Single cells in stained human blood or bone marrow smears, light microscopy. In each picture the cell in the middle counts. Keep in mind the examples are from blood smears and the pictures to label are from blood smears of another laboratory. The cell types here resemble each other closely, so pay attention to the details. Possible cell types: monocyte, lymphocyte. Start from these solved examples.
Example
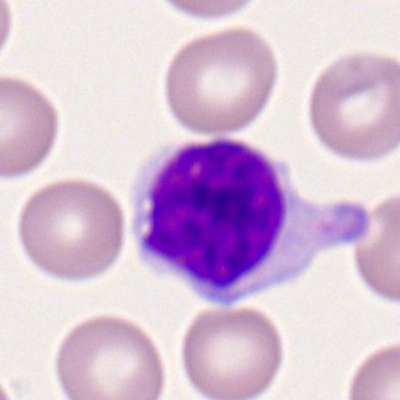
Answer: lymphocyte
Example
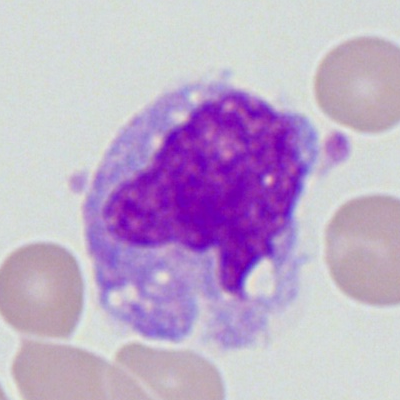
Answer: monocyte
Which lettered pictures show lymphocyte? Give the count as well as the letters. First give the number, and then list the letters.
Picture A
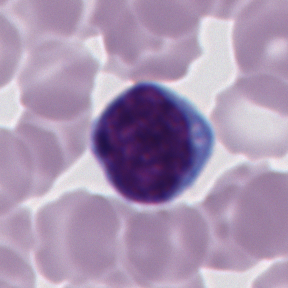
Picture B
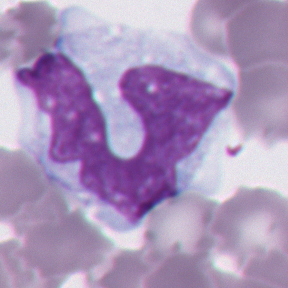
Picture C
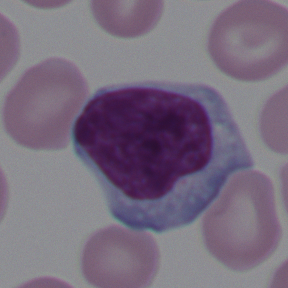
2: A, C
